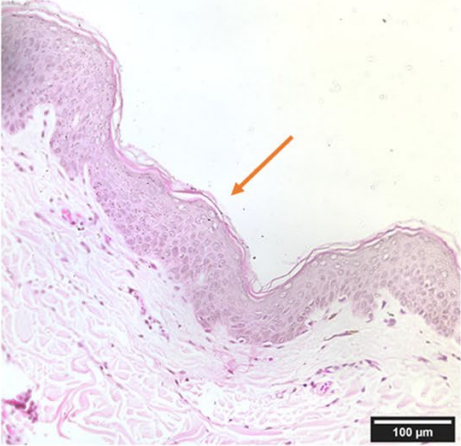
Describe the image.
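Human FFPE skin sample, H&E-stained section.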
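The epidermis consists of tightly packed cells with rounded nuclei, stacked in layers, and a thin, pale, wavy layer lies on its outer surface. The lower border of the epidermis undulates where it meets the tissue beneath. Below it lies the dermis, much paler, made of loosely arranged pink fibre bundles with only scattered small nuclei. A few small darker red spots appear within the dermis near the lower left.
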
